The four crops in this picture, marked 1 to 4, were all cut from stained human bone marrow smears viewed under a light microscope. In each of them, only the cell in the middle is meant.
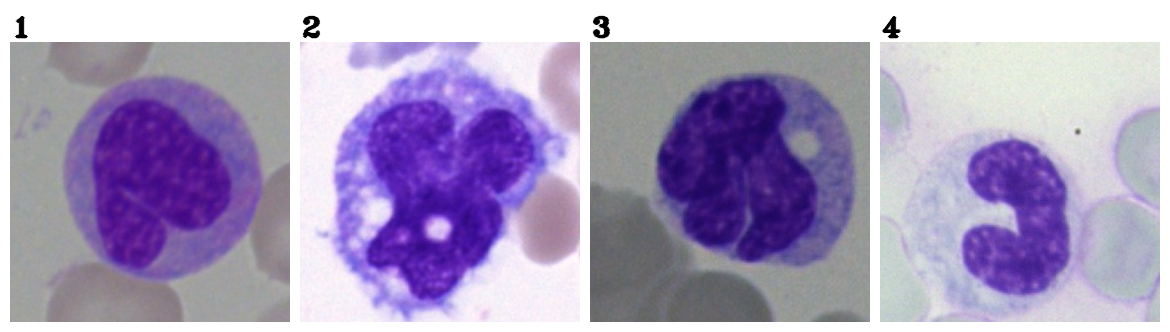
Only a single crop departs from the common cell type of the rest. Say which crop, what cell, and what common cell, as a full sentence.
The others are all monocytes; crop 4 is a band neutrophil.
